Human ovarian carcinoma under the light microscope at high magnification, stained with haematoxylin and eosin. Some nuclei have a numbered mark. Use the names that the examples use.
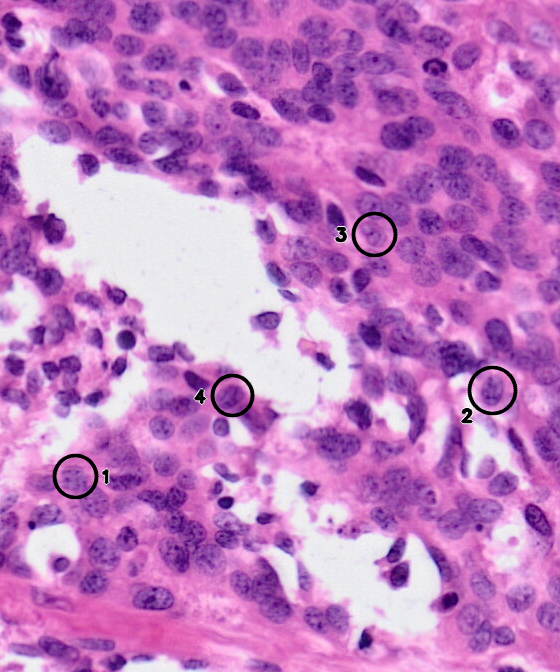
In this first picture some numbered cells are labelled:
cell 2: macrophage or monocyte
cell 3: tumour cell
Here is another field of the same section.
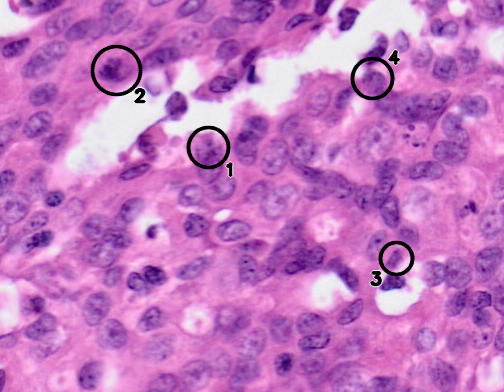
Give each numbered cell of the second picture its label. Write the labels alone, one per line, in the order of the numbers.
tumour cell
tumour cell
macrophage or monocyte
tumour cell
